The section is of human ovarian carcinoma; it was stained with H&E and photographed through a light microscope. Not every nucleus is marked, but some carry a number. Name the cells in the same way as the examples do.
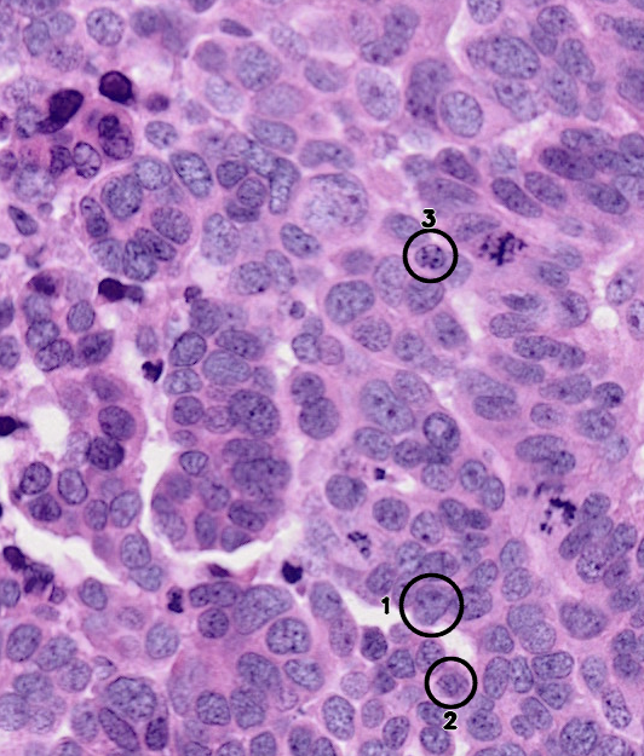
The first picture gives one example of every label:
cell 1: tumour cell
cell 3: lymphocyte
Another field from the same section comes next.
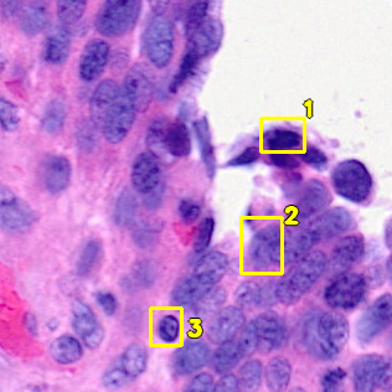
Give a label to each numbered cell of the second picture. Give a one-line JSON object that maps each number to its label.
{"1": "tumour cell", "2": "tumour cell", "3": "lymphocyte"}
